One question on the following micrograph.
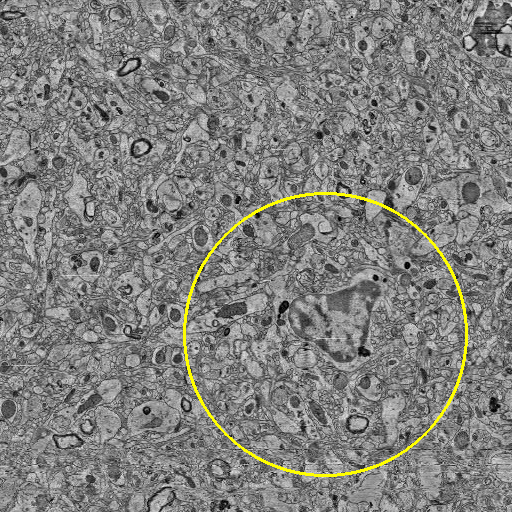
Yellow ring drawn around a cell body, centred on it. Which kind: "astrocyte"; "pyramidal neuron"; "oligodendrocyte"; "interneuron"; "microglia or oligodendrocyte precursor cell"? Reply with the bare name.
microglia or oligodendrocyte precursor cell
